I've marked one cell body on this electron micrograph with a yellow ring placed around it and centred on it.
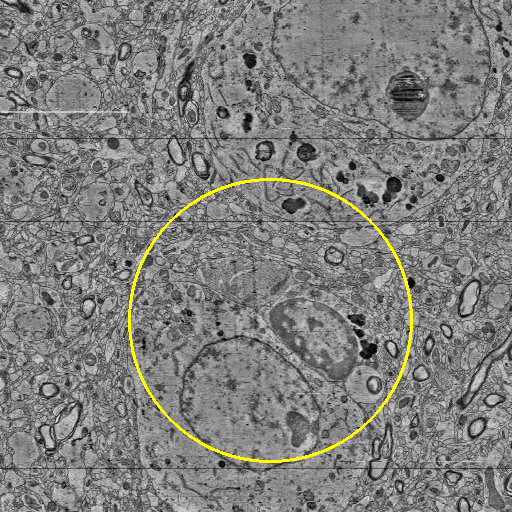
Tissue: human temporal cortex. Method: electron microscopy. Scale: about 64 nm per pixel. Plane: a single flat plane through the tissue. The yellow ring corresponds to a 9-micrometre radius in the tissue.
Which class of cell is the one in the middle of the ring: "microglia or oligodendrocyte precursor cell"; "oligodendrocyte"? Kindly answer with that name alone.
microglia or oligodendrocyte precursor cell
